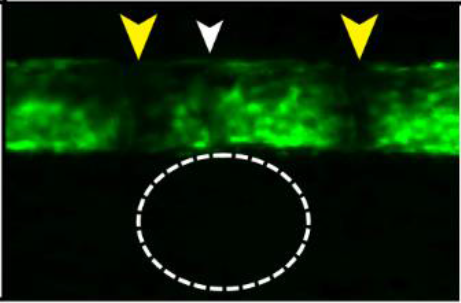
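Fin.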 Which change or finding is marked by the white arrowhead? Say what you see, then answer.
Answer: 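The white arrowhead points to a break in the green band between the two joints.
Conclusion: bone fracture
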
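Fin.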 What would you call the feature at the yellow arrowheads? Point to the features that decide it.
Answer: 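Joints. Each yellow arrowhead points to a thin transverse gap in the green band.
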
